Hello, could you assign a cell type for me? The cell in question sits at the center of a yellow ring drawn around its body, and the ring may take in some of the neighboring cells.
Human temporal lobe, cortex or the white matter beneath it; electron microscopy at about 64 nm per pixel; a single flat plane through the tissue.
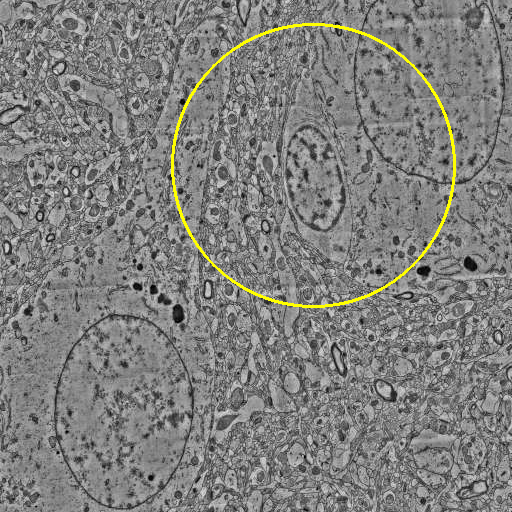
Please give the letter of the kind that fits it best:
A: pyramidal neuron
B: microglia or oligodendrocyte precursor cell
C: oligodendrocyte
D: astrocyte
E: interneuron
B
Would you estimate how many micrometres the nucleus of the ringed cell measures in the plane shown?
The ringed cell's nucleus is roughly 7 by 3 micrometres and clearly longer than it is wide in this plane.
